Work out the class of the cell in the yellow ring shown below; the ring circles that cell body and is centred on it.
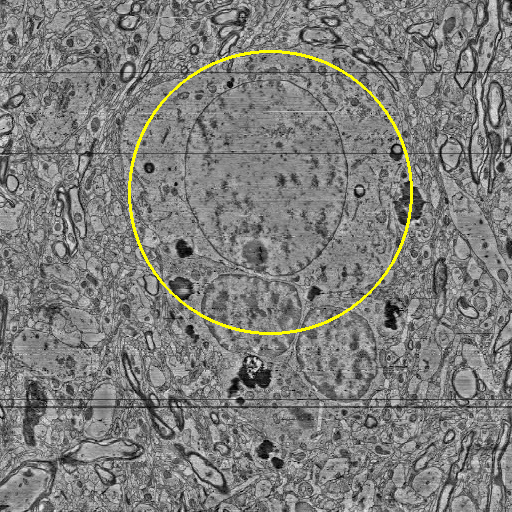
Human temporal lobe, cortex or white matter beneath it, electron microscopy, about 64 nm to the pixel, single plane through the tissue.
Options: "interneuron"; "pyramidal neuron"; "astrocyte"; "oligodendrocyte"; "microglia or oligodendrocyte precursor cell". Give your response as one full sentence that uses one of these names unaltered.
The body ringed in yellow, right at the ring's centre, is that of a pyramidal neuron.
